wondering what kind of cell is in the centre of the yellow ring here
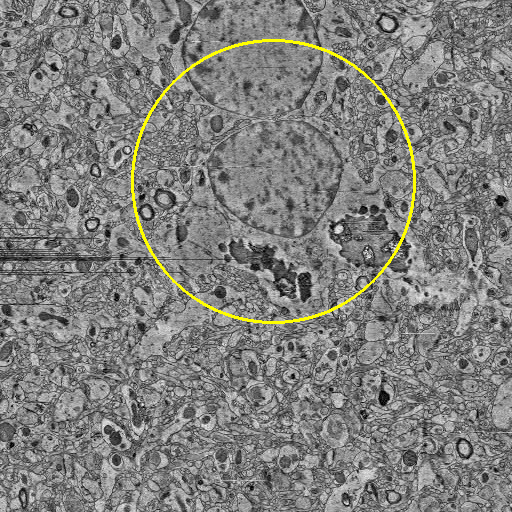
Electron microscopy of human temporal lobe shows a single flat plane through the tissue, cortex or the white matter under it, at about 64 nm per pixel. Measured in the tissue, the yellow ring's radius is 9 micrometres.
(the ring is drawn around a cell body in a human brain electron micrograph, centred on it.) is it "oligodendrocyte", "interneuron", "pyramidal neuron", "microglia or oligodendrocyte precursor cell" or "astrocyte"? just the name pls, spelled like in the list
astrocyte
